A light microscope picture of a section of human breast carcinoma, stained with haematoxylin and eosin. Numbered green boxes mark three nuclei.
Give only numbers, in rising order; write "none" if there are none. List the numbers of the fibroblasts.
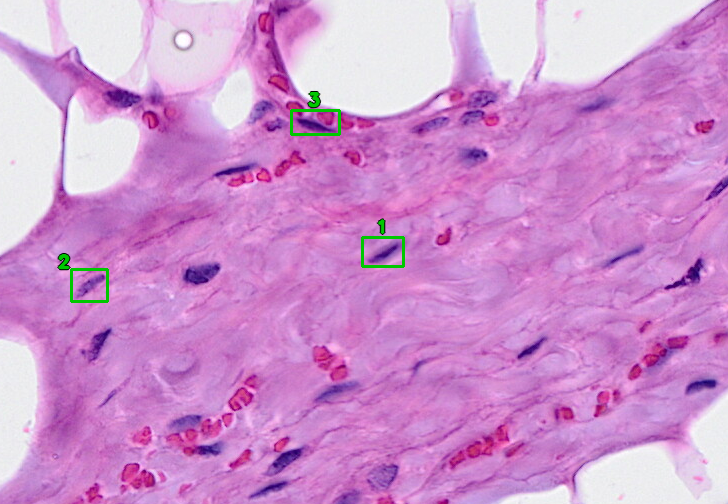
1, 2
